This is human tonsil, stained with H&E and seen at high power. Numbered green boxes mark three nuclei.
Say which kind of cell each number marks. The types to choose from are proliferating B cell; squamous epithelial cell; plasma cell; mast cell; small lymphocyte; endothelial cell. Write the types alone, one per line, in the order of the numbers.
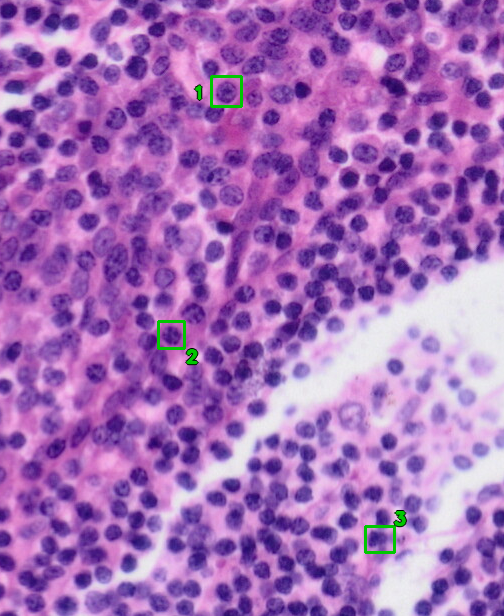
plasma cell
plasma cell
small lymphocyte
